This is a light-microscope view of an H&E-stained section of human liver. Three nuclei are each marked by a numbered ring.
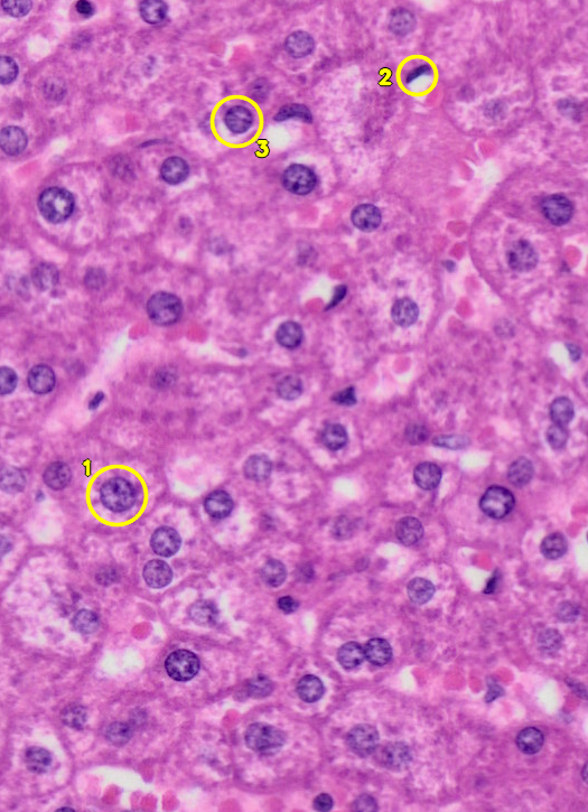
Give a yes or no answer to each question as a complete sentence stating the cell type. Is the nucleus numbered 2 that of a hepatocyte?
No, the right label for cell 2 is an endothelial cell rather than a hepatocyte.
